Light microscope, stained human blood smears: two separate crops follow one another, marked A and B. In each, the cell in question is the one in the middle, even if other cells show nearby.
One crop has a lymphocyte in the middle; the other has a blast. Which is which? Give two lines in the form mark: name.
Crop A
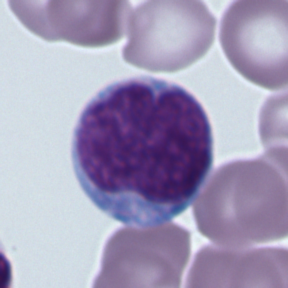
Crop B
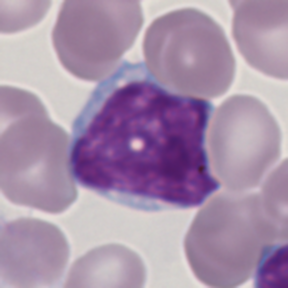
A: blast
B: lymphocyte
